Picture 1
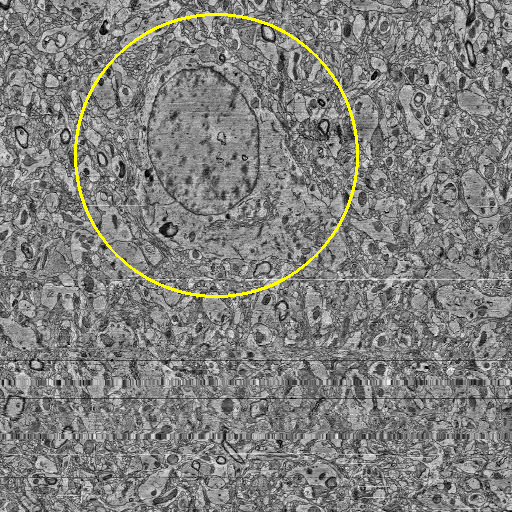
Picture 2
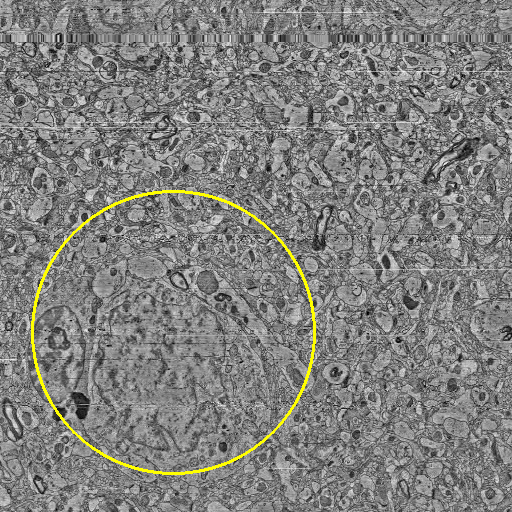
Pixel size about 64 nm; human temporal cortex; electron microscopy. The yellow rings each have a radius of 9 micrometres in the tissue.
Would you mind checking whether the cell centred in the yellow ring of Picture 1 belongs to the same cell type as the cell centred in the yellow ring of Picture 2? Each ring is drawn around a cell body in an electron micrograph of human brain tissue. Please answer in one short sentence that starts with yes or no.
No, the two cells are of two types.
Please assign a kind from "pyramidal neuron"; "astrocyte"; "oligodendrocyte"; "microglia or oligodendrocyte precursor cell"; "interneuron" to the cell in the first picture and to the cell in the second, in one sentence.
In the first picture we have a pyramidal neuron, and in the second, an interneuron.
